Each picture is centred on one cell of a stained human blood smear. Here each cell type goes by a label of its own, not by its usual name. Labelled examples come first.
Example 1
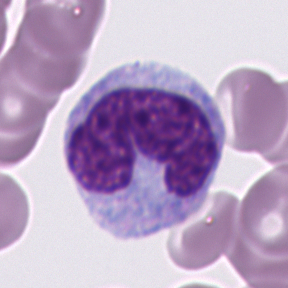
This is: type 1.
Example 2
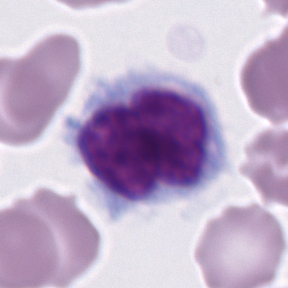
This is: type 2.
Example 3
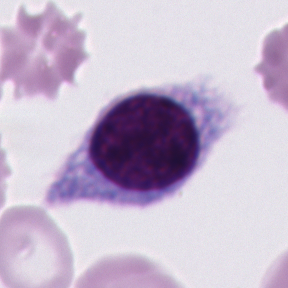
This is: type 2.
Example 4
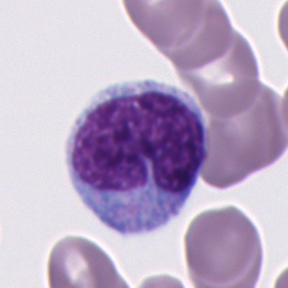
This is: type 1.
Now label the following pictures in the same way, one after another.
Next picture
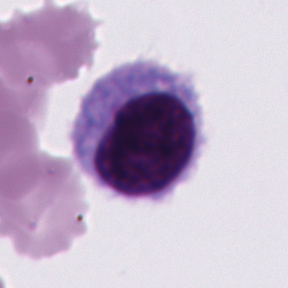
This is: type 2.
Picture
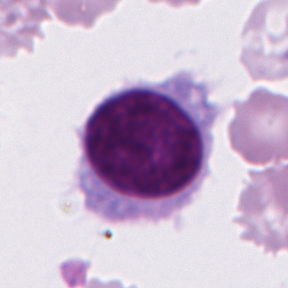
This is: type 2.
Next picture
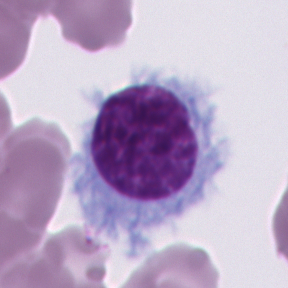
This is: type 2.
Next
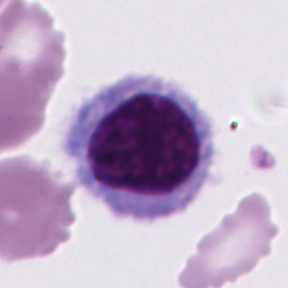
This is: type 2.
